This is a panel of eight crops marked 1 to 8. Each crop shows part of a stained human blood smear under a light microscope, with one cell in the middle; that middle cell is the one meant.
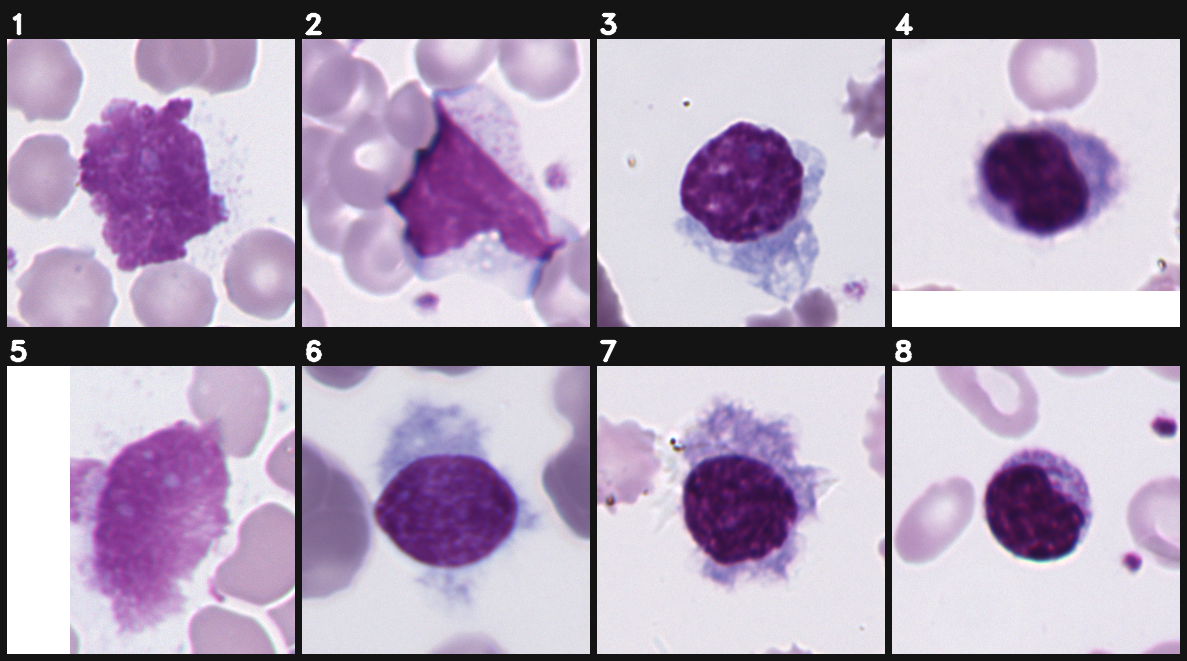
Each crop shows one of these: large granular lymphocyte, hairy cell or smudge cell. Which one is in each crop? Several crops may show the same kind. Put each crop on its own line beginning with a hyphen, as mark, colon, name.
- 1: smudge cell
- 2: large granular lymphocyte
- 3: hairy cell
- 4: hairy cell
- 5: smudge cell
- 6: hairy cell
- 7: hairy cell
- 8: large granular lymphocyte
